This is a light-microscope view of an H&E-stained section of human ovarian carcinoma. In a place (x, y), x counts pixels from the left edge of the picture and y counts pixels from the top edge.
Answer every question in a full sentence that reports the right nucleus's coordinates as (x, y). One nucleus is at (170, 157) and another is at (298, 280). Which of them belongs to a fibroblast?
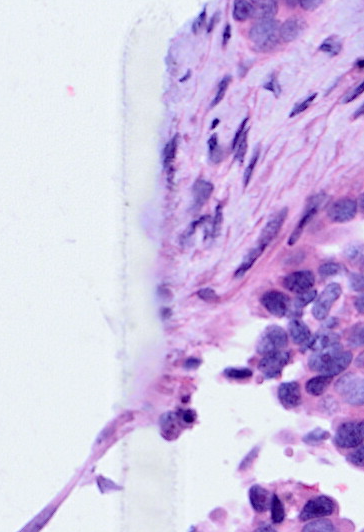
The nucleus located at (170, 157) is the one held within a fibroblast.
